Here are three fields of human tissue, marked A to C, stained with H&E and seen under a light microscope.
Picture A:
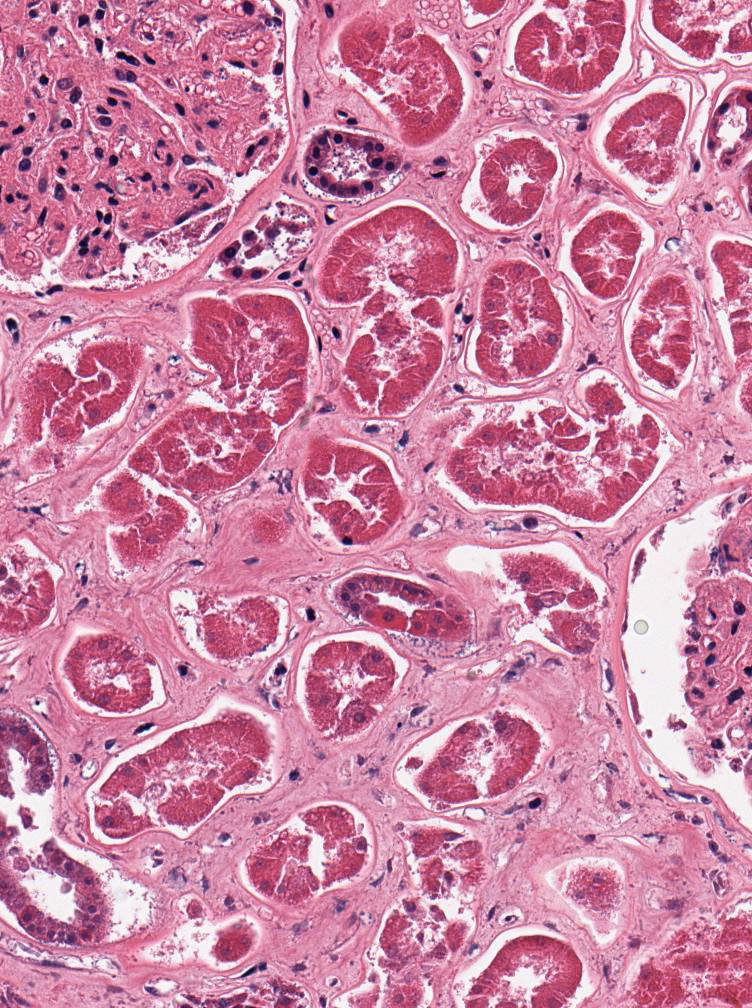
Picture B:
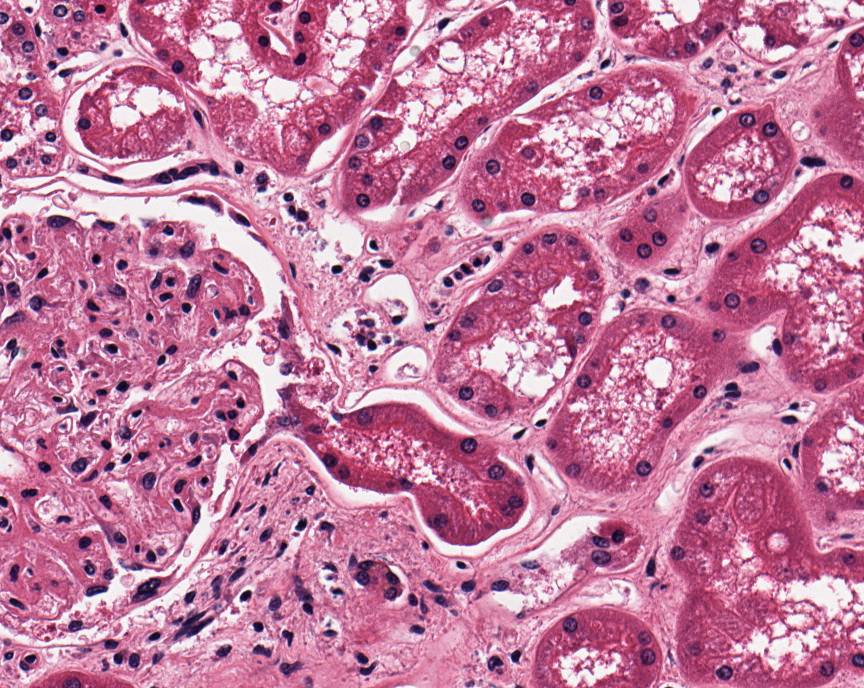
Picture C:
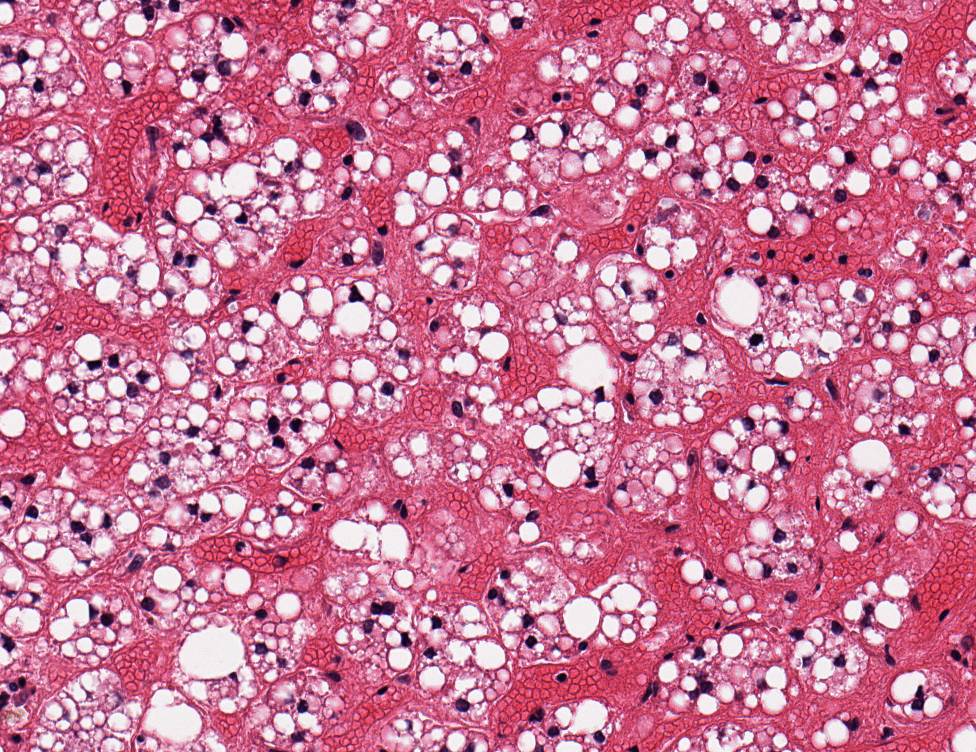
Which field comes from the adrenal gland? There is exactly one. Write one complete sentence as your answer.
Picture C comes from the adrenal gland.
